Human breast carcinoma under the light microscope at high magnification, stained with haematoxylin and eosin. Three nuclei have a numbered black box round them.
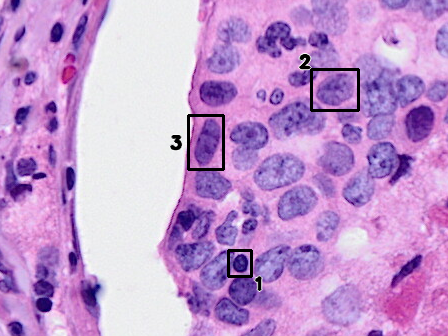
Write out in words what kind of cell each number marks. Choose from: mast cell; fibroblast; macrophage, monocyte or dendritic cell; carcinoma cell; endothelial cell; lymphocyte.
Cell 1 is a lymphocyte. Cells 2 and 3 are carcinoma cells.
